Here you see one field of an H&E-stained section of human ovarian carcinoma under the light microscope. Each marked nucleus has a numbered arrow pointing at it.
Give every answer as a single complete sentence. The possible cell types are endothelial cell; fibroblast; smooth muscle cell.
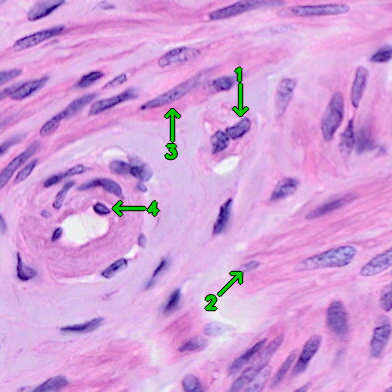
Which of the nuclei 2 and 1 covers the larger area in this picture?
Of the two, number 1 is bigger and takes up about 2 times the area of number 2.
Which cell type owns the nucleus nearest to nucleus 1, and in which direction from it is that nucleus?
The closest nucleus belongs to an endothelial cell and sits below and to the left of nucleus 1.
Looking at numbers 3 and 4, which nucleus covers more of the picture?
Nucleus 3 is the larger one, covering about 4 times the area of nucleus 4.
